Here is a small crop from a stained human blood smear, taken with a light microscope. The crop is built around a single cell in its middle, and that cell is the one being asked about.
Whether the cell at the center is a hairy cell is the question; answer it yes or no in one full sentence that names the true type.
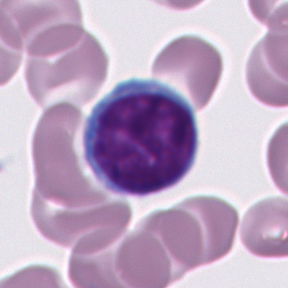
No, the middle of the crop holds a typical lymphocyte, not a hairy cell.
